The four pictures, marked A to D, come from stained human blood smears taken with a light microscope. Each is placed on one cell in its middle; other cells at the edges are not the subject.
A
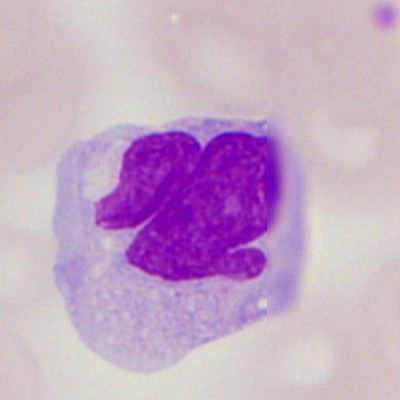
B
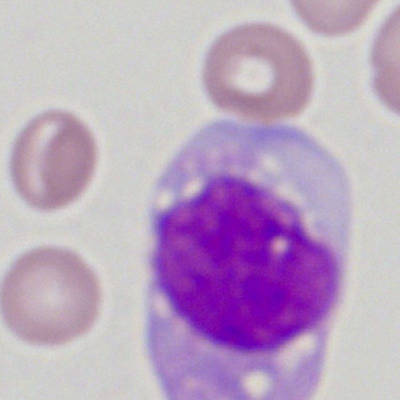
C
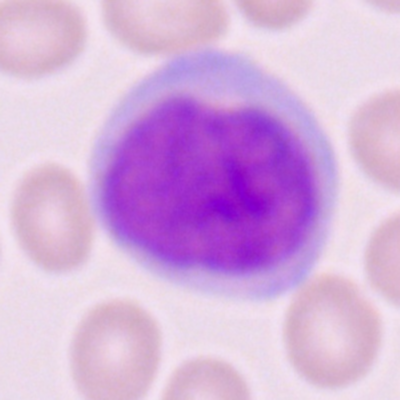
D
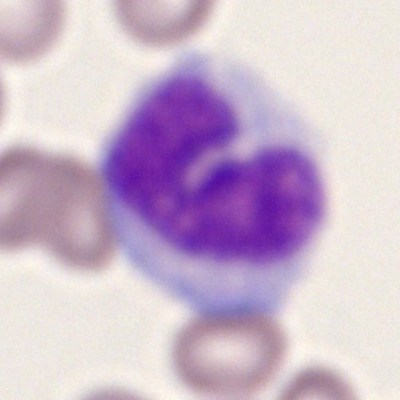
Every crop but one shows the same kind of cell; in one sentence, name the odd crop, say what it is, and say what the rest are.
Of the crops, all show monocytes save crop C, which shows a myeloblast.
